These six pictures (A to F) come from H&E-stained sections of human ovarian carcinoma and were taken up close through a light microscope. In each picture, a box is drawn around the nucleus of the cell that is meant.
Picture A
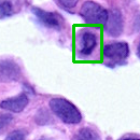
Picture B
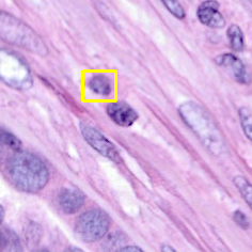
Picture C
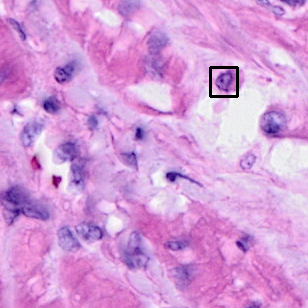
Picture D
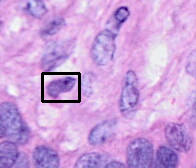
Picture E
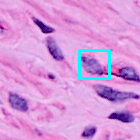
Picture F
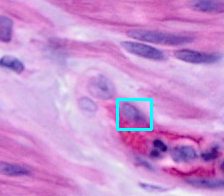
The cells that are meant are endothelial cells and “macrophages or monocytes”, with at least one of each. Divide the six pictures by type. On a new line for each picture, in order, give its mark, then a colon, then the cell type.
A: macrophage or monocyte
B: macrophage or monocyte
C: macrophage or monocyte
D: macrophage or monocyte
E: endothelial cell
F: endothelial cell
